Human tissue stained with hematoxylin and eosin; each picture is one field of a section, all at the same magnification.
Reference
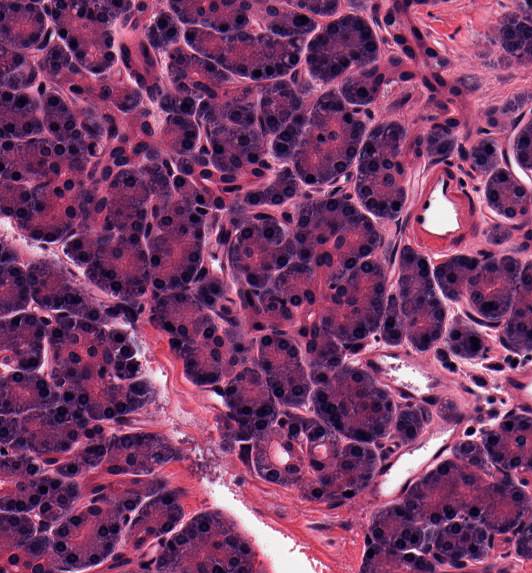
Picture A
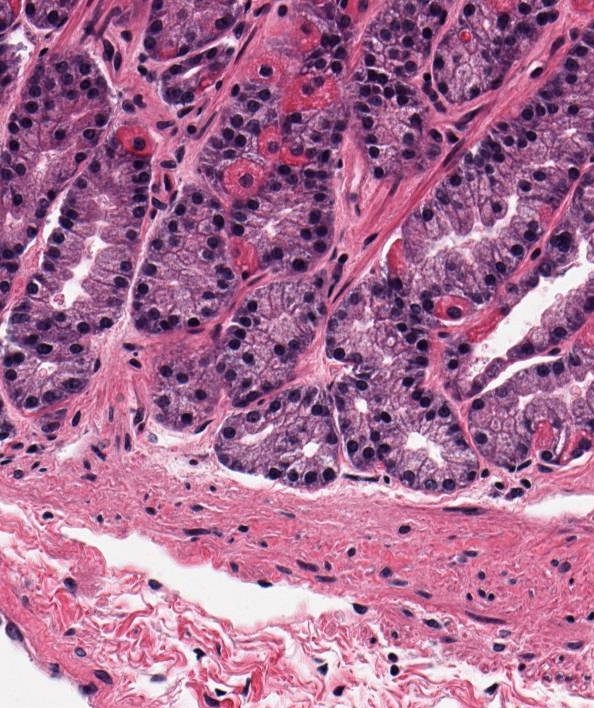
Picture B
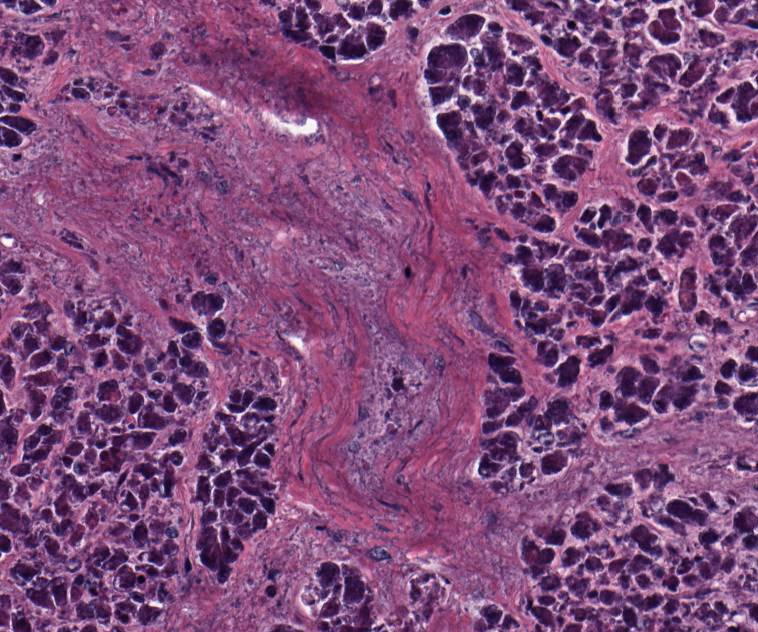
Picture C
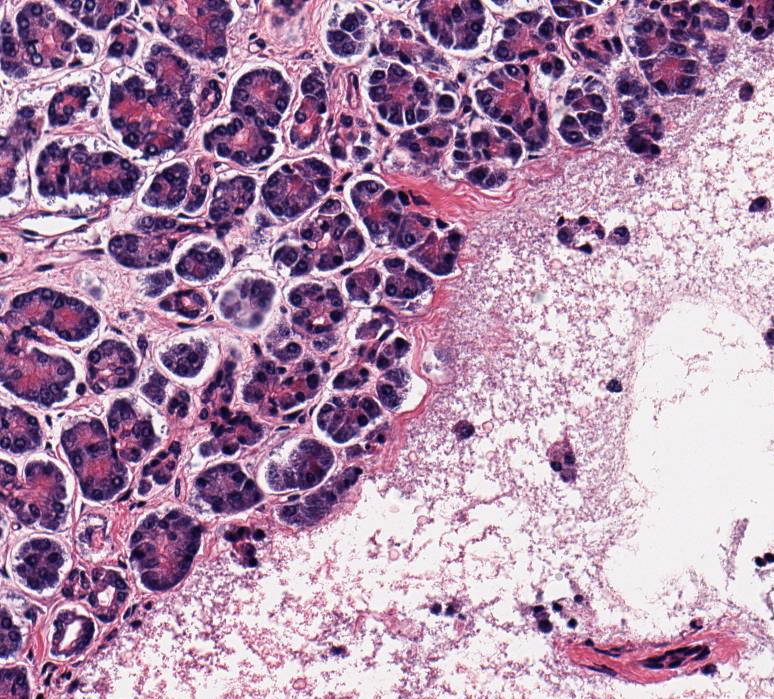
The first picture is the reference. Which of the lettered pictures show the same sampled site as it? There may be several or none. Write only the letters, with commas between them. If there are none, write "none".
B, C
